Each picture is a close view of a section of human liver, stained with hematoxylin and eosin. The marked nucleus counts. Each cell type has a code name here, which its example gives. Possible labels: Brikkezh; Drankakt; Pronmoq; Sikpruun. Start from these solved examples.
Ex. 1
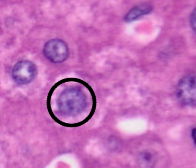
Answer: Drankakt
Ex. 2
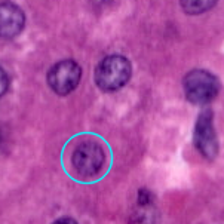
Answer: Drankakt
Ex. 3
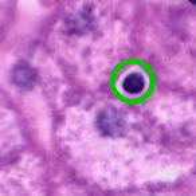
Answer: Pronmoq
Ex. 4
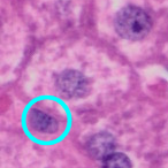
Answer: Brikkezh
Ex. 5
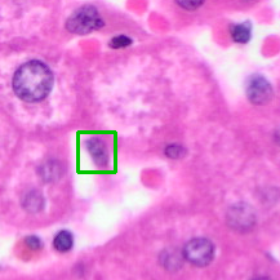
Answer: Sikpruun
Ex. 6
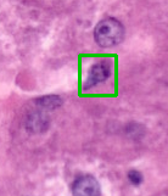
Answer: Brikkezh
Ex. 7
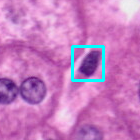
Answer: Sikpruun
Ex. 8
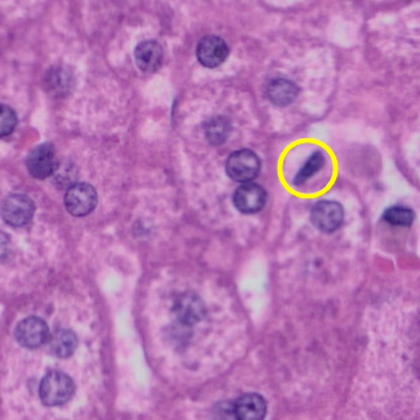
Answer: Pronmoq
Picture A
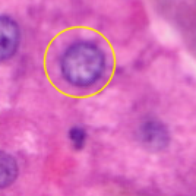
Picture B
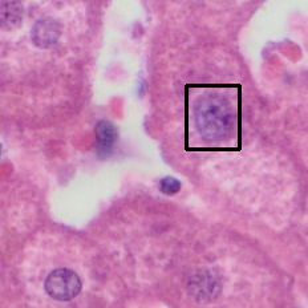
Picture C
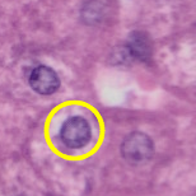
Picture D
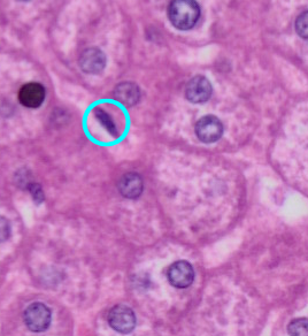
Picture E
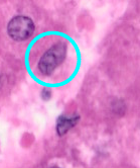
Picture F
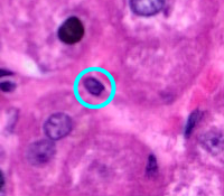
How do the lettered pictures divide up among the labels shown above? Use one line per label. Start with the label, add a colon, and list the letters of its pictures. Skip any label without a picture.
Drankakt: A, B, C
Pronmoq: F
Sikpruun: D, E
